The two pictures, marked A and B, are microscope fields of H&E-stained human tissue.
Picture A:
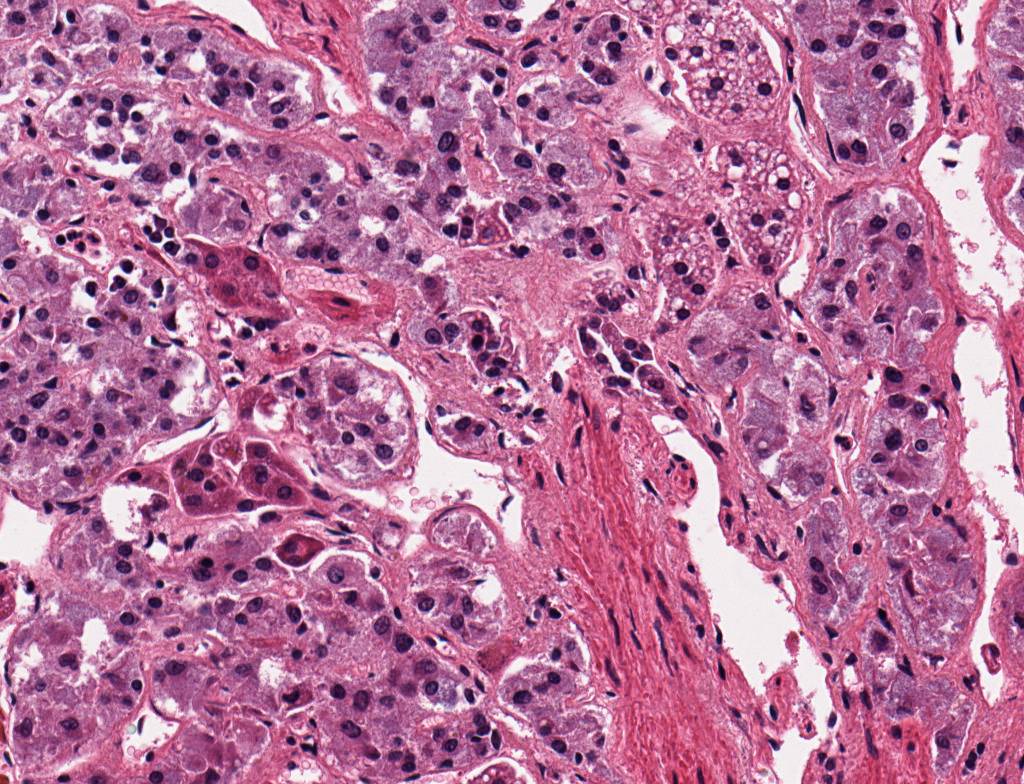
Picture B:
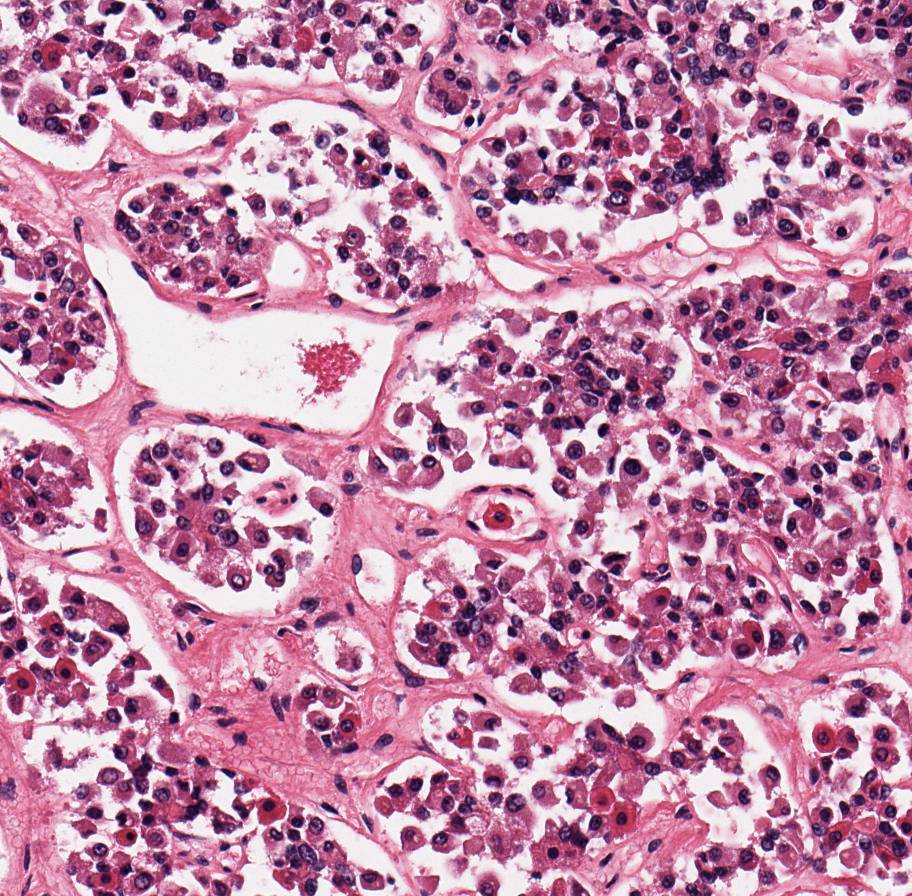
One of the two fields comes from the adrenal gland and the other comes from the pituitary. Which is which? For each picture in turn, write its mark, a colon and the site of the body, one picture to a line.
A: adrenal gland
B: pituitary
